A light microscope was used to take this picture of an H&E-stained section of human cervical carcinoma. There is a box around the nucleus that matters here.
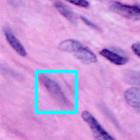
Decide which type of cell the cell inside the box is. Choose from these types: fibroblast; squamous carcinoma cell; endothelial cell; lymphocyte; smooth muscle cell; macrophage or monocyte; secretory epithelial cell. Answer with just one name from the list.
fibroblast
